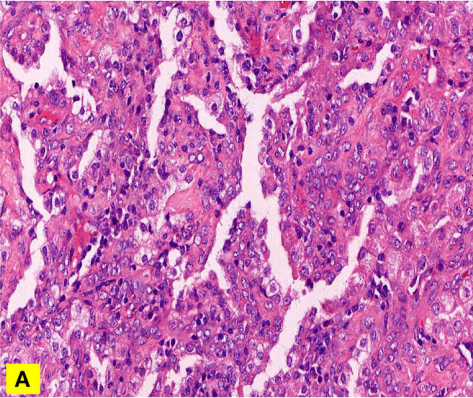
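Here we are looking at a tumour area where cells line narrow, branching white clefts and fill the cores between them. Along the free surfaces sits a single layer of small cuboidal cells with round dark nuclei. Beneath them, filling the interior, are larger polygonal cells with plentiful pale pink to clear cytoplasm and round to oval nuclei, some with a visible nucleolus. The nuclei look fairly uniform in size and shape. The pink strands between cell groups carry the architecture, and the white clefts wind irregularly through the field, giving the tissue a branching, finger-like pattern.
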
